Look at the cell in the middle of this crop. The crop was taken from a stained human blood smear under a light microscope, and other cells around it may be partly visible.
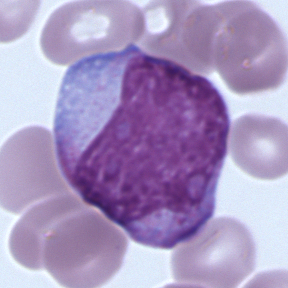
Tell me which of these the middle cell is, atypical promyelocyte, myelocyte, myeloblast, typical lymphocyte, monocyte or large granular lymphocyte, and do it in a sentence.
The cell centred in this crop is categorized as an atypical promyelocyte.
